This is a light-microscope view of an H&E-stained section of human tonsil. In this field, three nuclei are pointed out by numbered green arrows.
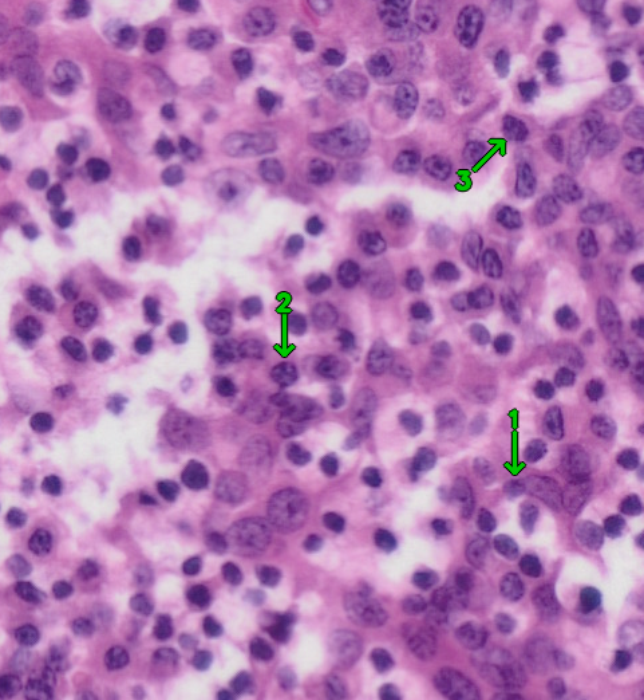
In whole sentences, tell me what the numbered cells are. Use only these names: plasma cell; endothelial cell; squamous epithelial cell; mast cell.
Cell 1 is a squamous epithelial cell. Cells 2 and 3 are plasma cells.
